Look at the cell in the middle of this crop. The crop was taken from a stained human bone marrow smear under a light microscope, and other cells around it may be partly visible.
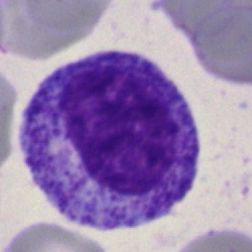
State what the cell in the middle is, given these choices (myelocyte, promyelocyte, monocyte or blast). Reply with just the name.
promyelocyte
